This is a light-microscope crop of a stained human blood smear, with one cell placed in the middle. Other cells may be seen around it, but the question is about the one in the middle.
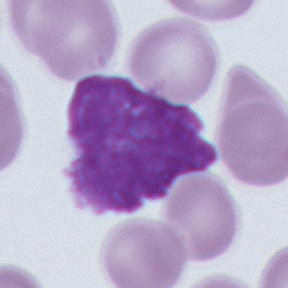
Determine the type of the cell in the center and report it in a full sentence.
The center cell of this crop is a smudge cell.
